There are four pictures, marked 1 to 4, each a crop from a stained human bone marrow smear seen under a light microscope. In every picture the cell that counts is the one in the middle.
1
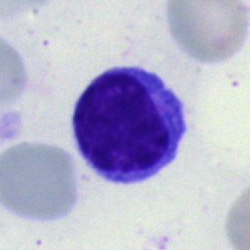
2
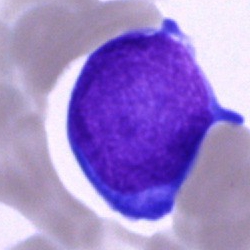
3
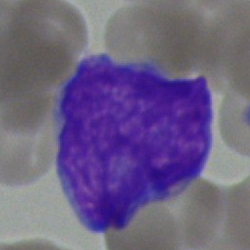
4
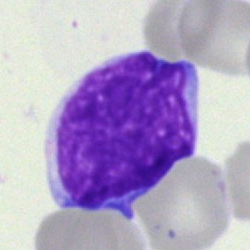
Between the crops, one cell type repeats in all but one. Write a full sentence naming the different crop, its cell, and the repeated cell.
Of these crops, only crop 1 is a lymphocyte; the others are blasts.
